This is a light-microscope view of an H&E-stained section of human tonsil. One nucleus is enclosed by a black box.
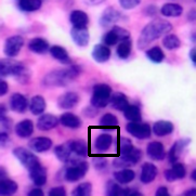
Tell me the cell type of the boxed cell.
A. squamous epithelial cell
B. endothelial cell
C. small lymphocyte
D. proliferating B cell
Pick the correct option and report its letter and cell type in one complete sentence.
The proper choice here is C: the boxed cell is a small lymphocyte.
